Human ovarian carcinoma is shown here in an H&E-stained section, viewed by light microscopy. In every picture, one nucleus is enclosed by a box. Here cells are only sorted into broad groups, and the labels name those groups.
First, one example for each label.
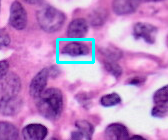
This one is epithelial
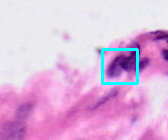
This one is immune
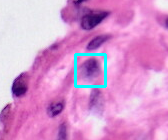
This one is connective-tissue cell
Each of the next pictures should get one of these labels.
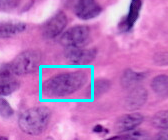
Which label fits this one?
epithelial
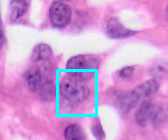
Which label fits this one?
epithelial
